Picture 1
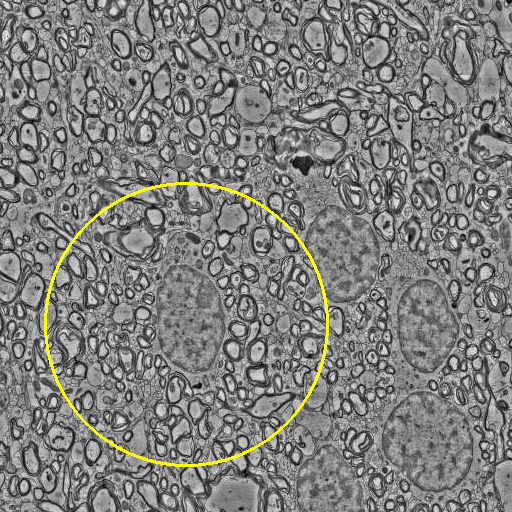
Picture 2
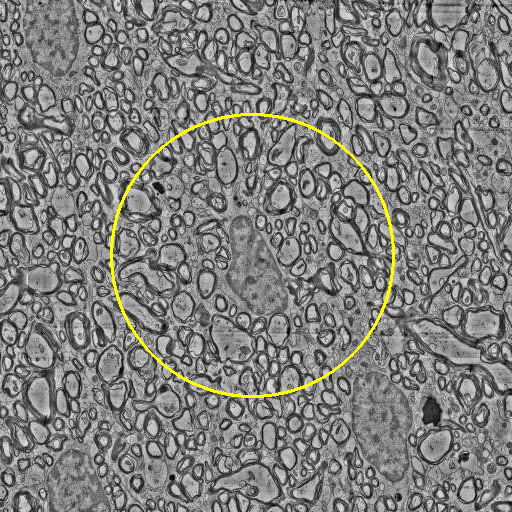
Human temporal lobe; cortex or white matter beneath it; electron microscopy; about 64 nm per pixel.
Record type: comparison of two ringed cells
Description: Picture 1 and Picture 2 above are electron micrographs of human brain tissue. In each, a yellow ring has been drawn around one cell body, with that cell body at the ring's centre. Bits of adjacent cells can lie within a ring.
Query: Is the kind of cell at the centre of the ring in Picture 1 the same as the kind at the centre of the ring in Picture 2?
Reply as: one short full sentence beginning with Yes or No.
Yes, the two ringed cells are of the same kind.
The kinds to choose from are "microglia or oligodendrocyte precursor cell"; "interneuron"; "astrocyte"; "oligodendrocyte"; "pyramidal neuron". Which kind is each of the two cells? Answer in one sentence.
Each of the ringed cells, first and second, is an oligodendrocyte.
